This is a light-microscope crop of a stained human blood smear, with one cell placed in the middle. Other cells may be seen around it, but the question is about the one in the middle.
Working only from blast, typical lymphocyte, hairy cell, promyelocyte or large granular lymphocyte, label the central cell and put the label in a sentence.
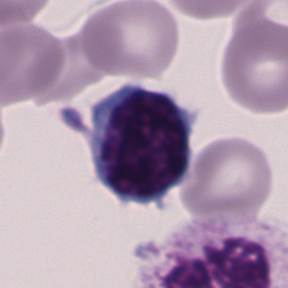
The cell in the middle of this crop is a typical lymphocyte.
